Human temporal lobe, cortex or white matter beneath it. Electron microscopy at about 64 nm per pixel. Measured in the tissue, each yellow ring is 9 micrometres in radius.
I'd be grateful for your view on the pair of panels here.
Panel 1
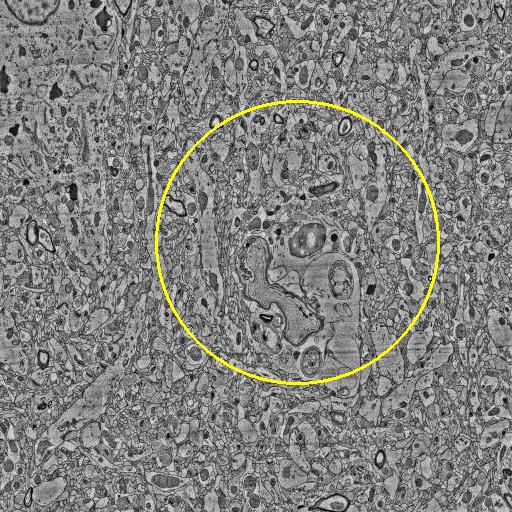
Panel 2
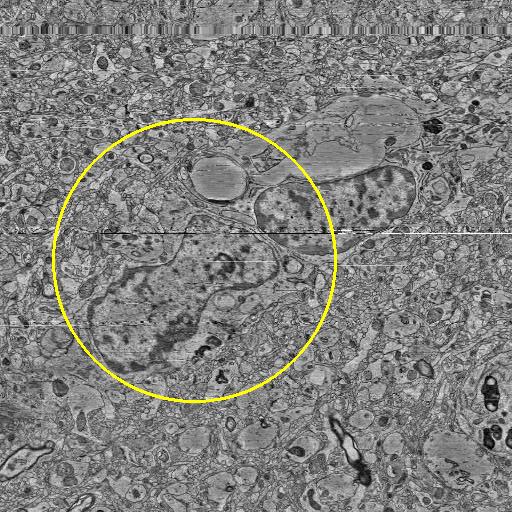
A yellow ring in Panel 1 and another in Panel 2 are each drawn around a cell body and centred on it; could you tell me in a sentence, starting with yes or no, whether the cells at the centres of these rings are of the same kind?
Yes, they are the same kind of cell.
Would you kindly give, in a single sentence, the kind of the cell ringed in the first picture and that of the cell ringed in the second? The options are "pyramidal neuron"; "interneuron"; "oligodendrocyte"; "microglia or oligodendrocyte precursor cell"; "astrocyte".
Each of the two cells is a microglial cell or oligodendrocyte precursor cell.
